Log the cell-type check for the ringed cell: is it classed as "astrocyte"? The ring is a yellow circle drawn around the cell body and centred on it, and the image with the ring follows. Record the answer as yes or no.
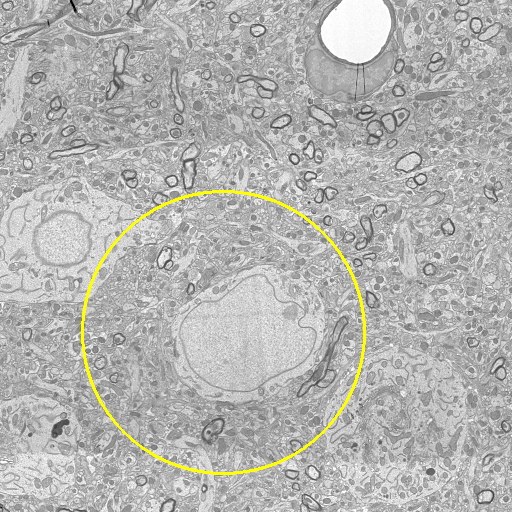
No, it is classed as another type.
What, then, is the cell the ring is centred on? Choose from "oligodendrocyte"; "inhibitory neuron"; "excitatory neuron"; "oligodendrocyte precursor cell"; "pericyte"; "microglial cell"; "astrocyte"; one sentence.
The cell in the ring is an excitatory neuron instead.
